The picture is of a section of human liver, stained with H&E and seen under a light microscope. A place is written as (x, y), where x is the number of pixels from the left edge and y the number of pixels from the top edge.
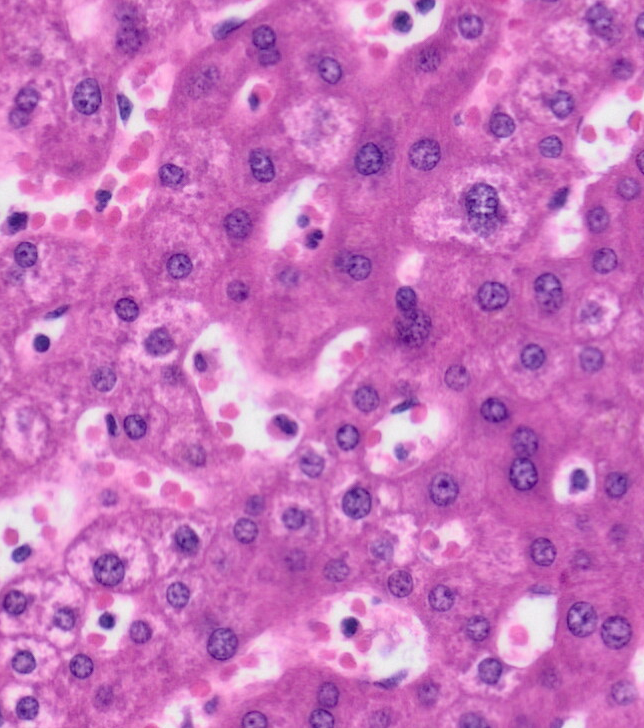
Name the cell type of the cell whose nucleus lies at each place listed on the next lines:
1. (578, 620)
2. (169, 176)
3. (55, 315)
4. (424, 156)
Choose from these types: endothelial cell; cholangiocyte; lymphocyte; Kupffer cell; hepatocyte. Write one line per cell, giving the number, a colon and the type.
1: hepatocyte
2: hepatocyte
3: endothelial cell
4: hepatocyte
